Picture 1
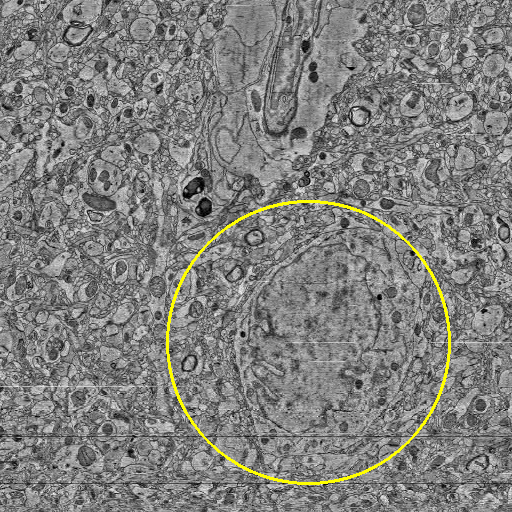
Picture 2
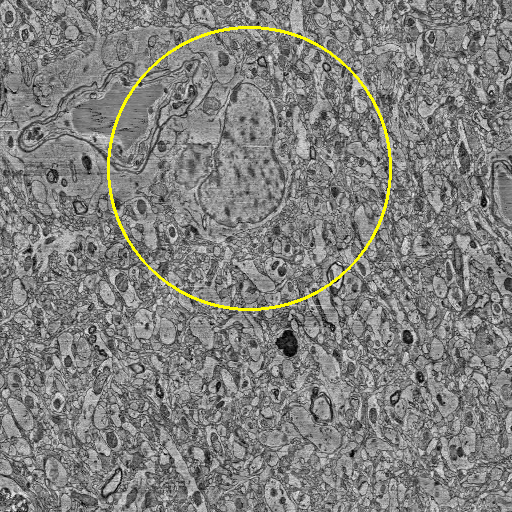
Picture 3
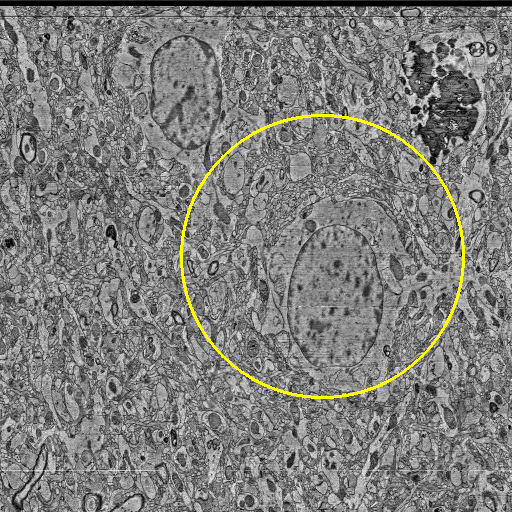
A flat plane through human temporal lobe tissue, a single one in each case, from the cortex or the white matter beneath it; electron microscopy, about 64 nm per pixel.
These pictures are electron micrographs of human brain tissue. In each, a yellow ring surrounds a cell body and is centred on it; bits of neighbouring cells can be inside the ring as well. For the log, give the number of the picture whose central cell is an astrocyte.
3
